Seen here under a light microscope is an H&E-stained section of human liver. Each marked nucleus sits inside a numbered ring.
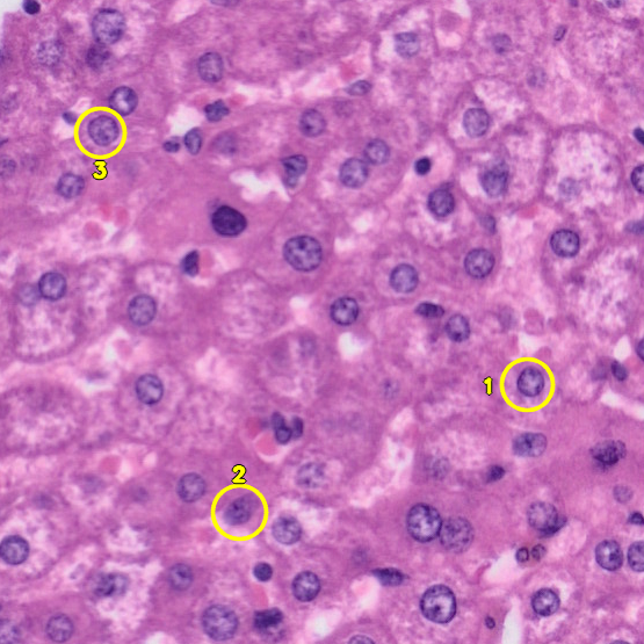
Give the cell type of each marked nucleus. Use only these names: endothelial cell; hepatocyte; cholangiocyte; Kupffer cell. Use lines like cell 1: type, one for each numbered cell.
cell 1: hepatocyte
cell 2: endothelial cell
cell 3: hepatocyte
